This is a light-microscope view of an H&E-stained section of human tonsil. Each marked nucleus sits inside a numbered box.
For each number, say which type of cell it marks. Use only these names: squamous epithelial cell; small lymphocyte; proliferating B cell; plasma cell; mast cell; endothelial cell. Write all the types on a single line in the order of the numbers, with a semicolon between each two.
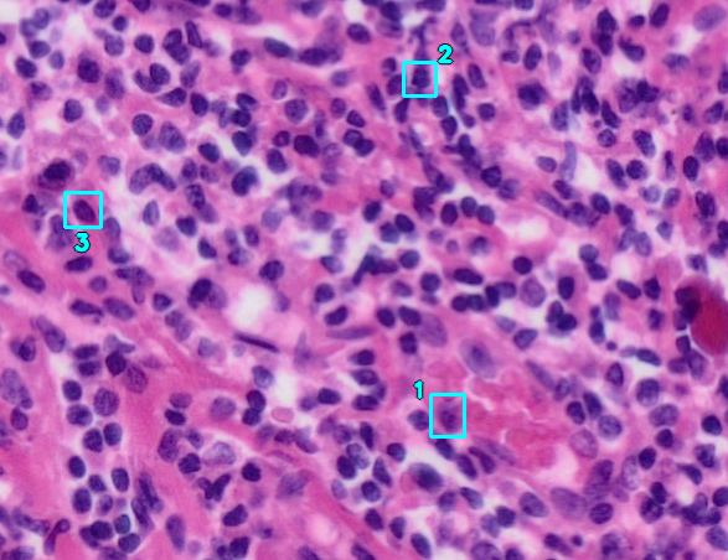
endothelial cell; small lymphocyte; plasma cell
